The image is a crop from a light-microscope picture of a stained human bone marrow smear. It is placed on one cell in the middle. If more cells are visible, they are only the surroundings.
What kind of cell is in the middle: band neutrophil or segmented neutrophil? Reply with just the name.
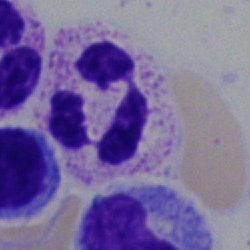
segmented neutrophil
